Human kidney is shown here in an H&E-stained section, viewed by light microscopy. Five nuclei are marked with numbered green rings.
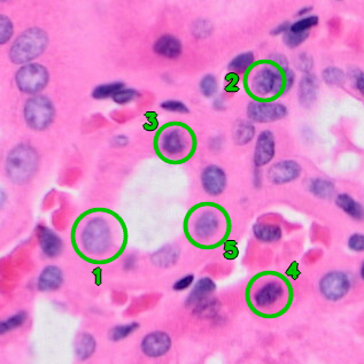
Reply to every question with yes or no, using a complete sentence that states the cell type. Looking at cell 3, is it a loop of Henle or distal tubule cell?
Yes, on this slide, the cell with number 3 is a loop of Henle or distal tubule cell.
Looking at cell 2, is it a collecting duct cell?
Yes, the cell with number 2 is a collecting duct cell.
